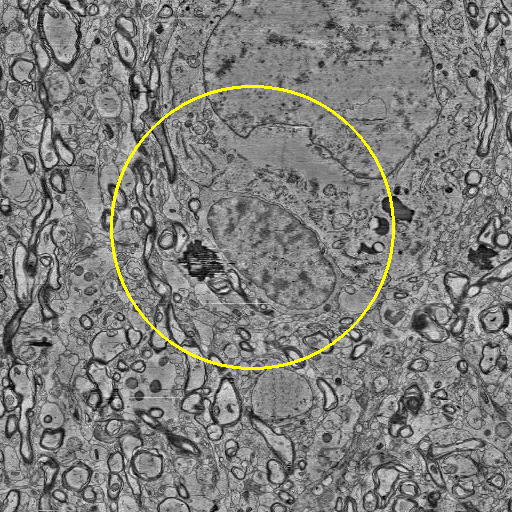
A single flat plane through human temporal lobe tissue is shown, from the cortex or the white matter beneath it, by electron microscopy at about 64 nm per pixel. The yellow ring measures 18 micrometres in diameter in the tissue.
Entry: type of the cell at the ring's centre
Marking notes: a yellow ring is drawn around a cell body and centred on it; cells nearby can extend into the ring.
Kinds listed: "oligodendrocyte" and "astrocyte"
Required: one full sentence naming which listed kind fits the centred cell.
My entry names an oligodendrocyte as the cell whose body the yellow ring centres on.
